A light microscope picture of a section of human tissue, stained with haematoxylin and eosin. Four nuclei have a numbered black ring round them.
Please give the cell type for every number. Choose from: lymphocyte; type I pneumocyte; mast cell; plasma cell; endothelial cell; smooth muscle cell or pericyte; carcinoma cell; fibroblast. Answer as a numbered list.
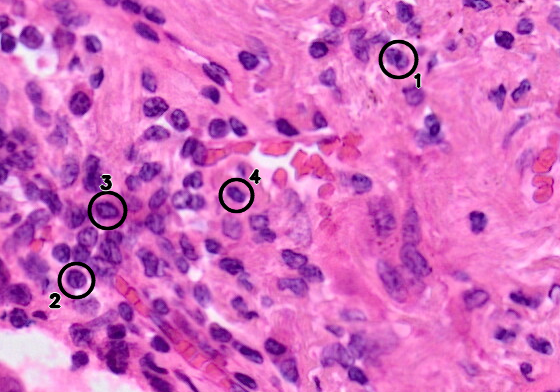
1. lymphocyte
2. lymphocyte
3. plasma cell
4. lymphocyte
